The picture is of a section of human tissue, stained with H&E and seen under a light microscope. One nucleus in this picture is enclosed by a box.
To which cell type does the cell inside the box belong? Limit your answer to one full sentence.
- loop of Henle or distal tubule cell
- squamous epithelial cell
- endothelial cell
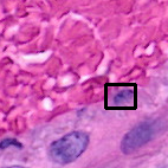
In cell-type terms, the cell inside the box is an endothelial cell.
